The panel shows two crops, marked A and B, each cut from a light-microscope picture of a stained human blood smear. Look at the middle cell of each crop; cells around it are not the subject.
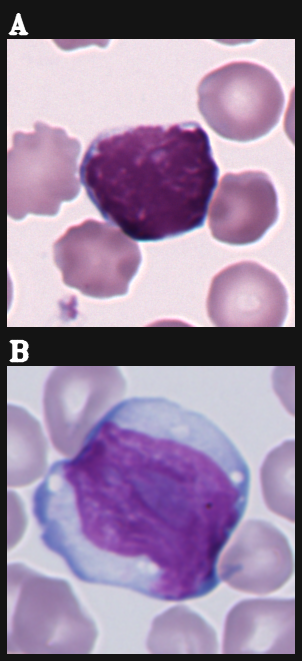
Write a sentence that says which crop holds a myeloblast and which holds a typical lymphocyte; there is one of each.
Crop A presents a typical lymphocyte, and crop B presents a myeloblast.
